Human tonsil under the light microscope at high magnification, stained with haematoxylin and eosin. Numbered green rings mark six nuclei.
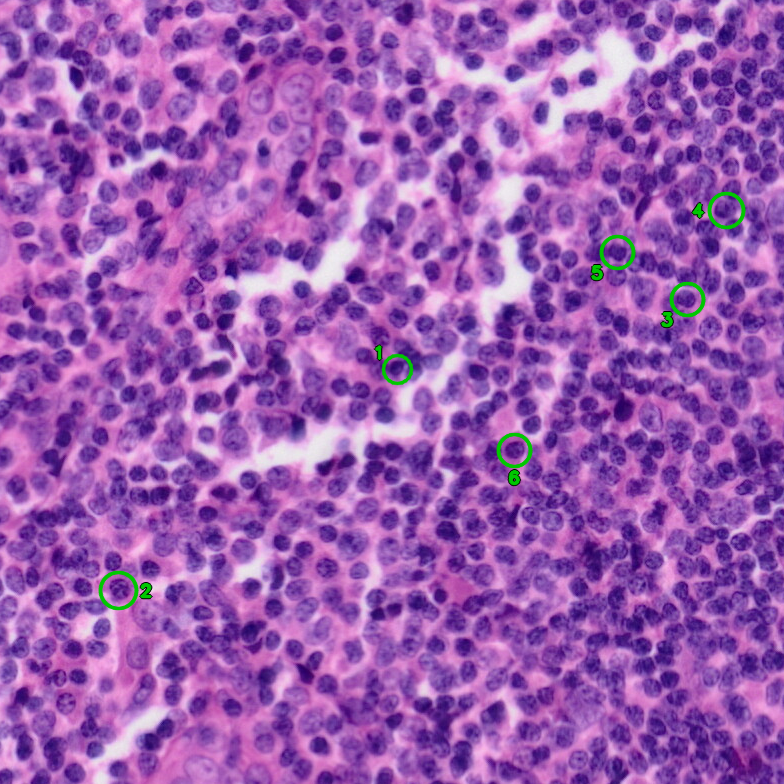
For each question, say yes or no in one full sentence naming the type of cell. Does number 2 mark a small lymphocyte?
No, cell 2 has been misnamed; it is a plasma cell, not a small lymphocyte.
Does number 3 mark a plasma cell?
No, cell 3 should be read as a small lymphocyte instead of a plasma cell.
